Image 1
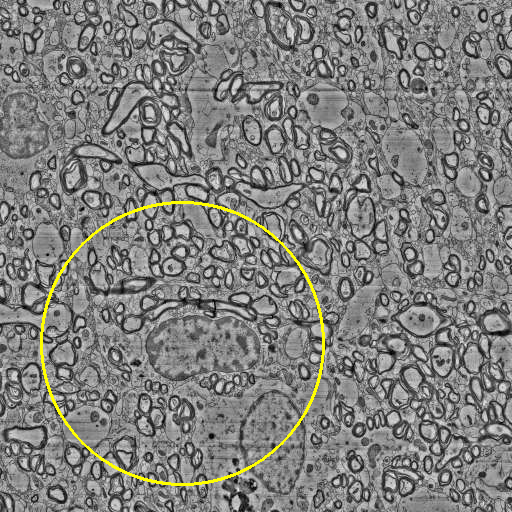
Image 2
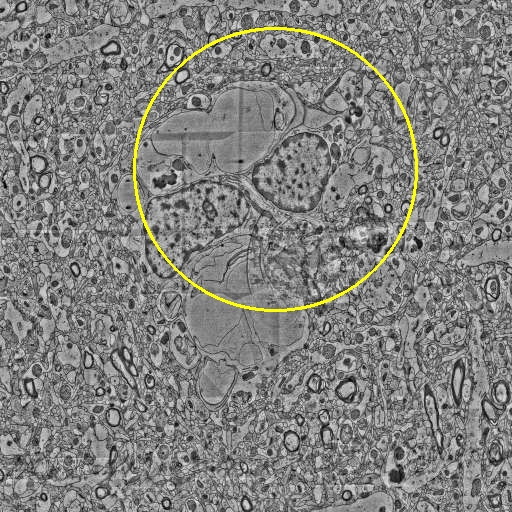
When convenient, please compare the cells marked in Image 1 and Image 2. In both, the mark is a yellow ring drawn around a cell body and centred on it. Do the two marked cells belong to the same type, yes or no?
yes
